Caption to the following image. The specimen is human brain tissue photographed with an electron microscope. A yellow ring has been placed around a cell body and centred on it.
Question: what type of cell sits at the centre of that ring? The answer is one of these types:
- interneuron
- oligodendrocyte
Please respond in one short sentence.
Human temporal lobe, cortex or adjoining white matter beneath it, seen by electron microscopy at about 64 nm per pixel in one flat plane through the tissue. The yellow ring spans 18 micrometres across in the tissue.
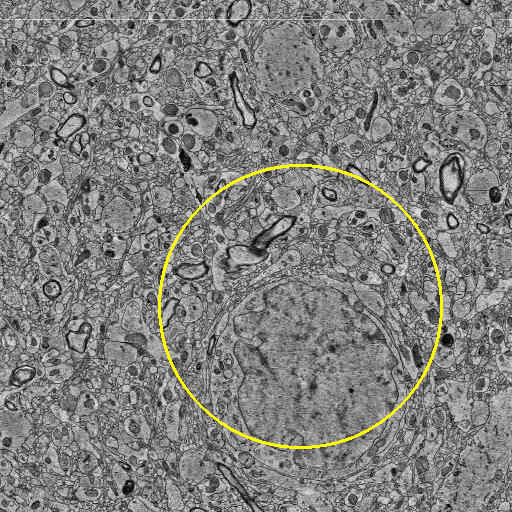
The ring surrounds the cell body of an interneuron.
